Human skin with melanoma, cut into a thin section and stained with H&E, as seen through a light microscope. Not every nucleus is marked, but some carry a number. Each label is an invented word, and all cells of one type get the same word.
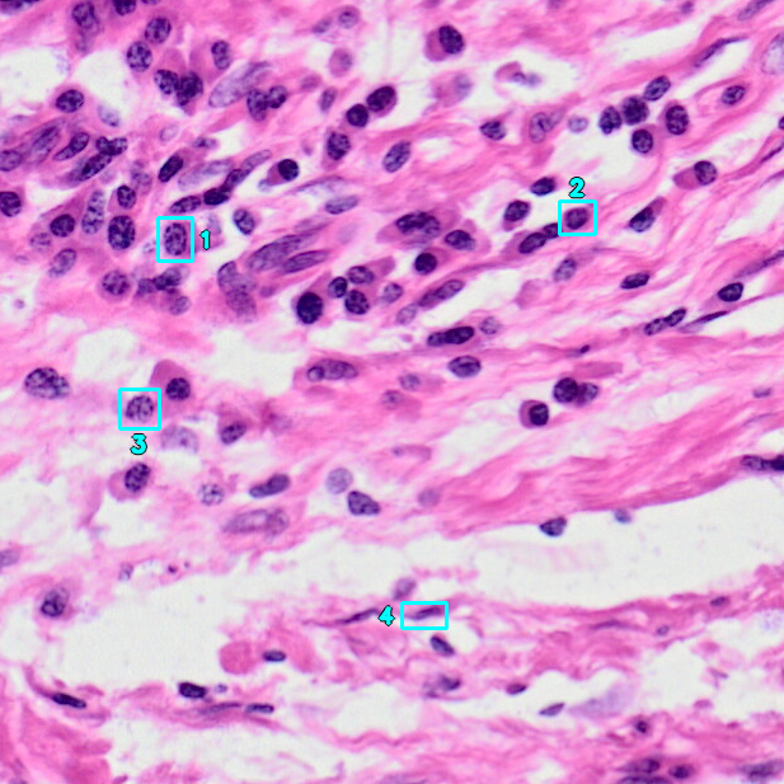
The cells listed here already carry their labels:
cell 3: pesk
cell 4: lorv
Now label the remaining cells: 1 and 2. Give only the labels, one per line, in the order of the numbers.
pesk
pesk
